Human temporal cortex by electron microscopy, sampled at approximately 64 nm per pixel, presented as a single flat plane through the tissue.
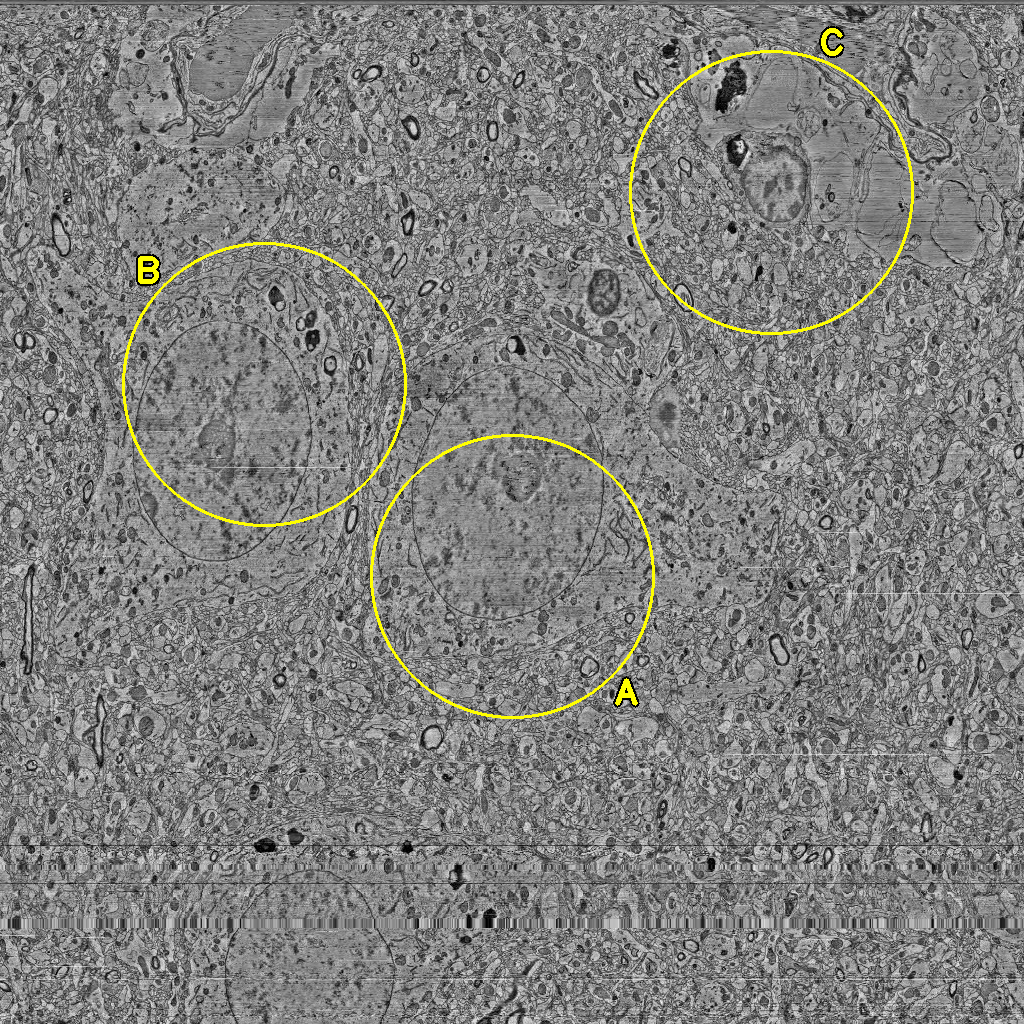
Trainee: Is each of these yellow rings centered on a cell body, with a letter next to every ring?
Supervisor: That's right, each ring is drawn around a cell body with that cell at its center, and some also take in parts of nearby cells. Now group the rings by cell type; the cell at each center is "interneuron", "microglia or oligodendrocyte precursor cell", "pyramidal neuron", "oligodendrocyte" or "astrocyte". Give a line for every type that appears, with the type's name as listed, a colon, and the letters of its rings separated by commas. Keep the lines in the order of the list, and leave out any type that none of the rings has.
pyramidal neuron: A, B
oligodendrocyte: C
